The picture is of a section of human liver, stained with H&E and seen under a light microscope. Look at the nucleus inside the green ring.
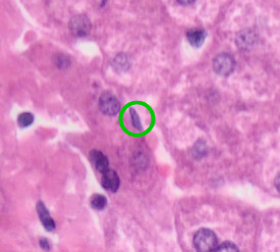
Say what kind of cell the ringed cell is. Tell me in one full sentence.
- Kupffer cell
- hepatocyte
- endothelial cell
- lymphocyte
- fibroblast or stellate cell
As to its cell type, the ringed cell is an endothelial cell.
